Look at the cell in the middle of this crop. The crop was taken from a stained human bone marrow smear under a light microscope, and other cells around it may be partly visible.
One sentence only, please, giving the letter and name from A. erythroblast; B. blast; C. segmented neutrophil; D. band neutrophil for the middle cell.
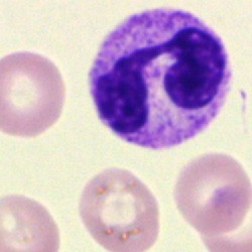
Option C is correct; the cell in the middle is a segmented neutrophil.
